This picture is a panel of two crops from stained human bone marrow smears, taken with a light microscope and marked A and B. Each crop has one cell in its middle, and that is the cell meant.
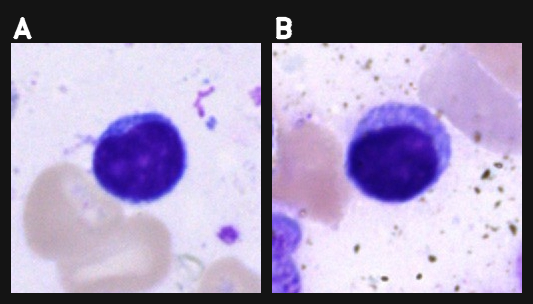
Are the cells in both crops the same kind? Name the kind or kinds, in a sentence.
Yes, both crops show lymphocytes, to put it briefly.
